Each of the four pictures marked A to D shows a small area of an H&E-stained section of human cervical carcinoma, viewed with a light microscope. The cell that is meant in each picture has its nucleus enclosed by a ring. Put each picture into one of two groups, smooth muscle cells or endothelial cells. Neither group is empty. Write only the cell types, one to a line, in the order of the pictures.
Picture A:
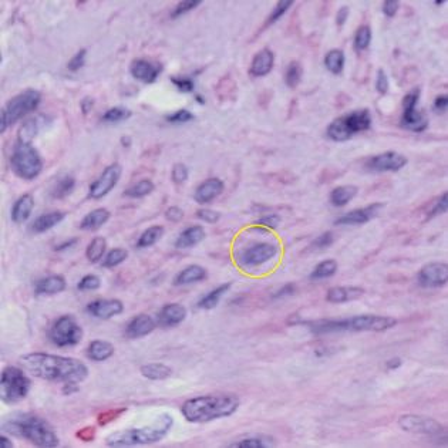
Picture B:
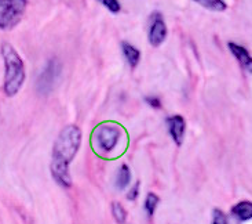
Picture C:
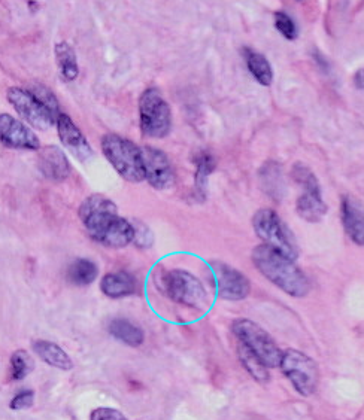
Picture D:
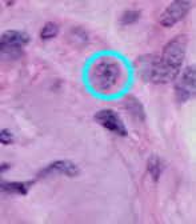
smooth muscle cell
smooth muscle cell
endothelial cell
smooth muscle cell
